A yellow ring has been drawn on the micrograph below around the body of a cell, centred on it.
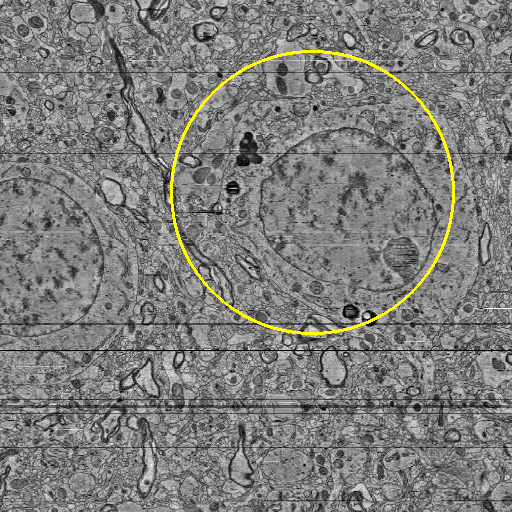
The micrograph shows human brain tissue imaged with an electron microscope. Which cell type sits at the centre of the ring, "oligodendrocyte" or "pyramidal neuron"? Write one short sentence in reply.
The cell sitting at the centre of the ring is a pyramidal neuron.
